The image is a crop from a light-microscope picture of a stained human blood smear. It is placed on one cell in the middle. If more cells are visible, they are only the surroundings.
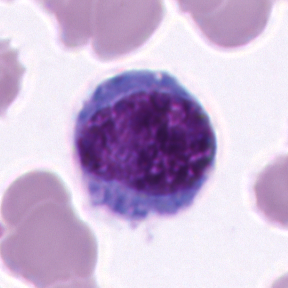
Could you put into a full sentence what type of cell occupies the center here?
By type, the central cell of the crop is a plasma cell.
